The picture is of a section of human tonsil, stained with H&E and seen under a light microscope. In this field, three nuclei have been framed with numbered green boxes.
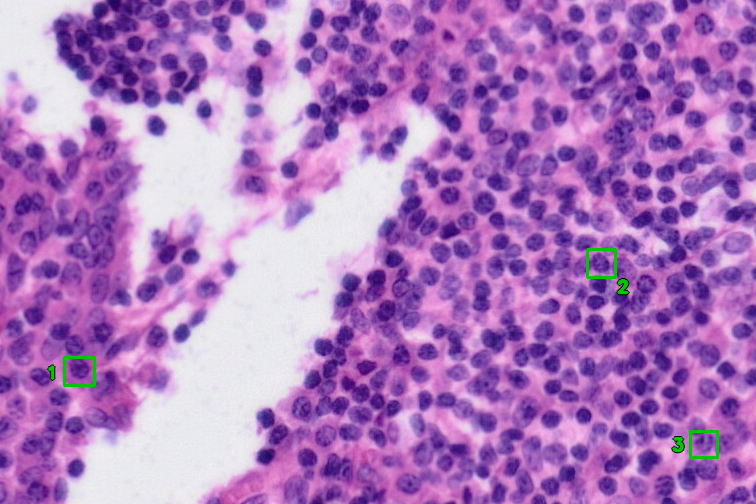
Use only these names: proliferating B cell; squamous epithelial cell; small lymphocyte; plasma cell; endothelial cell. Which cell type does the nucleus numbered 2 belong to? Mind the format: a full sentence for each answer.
The cell marked with number 2 is a small lymphocyte.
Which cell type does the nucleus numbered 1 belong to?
The identity of cell 1 is that of a plasma cell.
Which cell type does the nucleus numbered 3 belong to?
The one labeled 3 is a plasma cell, to put it simply.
